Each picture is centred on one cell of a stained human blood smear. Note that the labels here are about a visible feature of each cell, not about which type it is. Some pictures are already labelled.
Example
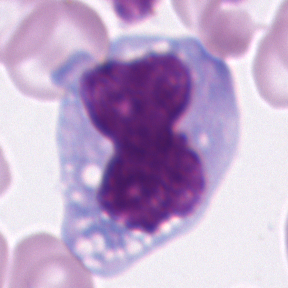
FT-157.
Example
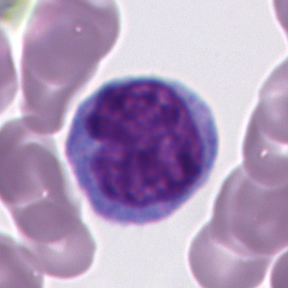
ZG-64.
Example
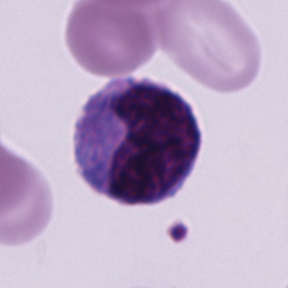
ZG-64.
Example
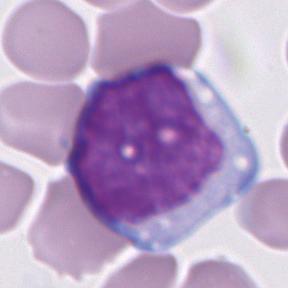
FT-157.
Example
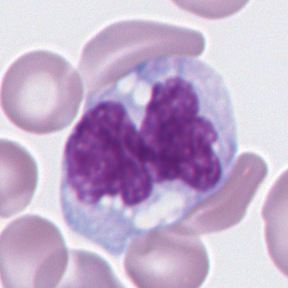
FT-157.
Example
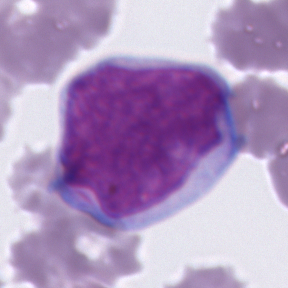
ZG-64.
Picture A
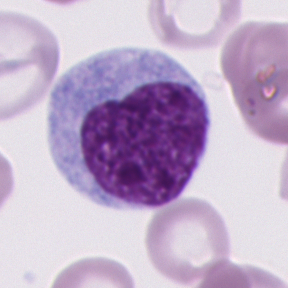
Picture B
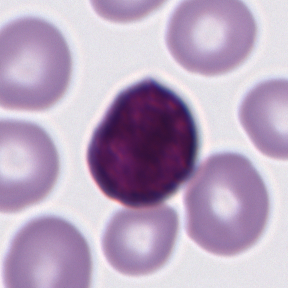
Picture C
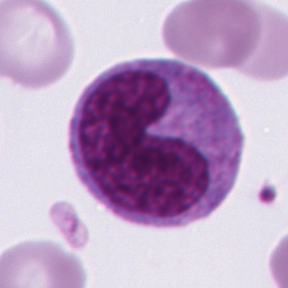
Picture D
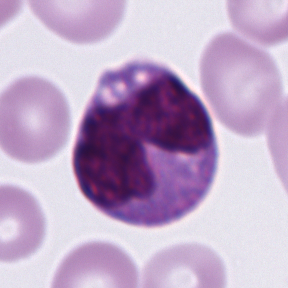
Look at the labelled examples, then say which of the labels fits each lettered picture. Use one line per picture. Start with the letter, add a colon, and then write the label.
A: ZG-64.
B: ZG-64.
C: ZG-64.
D: FT-157.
